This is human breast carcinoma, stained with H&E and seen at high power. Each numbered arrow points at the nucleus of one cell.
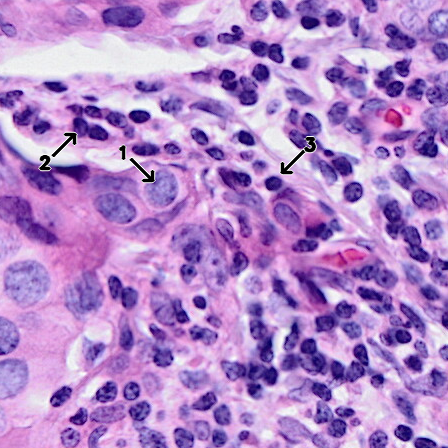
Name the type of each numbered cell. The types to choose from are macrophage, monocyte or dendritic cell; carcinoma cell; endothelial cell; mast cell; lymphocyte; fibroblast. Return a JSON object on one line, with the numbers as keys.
{"1": "carcinoma cell", "2": "lymphocyte", "3": "lymphocyte"}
